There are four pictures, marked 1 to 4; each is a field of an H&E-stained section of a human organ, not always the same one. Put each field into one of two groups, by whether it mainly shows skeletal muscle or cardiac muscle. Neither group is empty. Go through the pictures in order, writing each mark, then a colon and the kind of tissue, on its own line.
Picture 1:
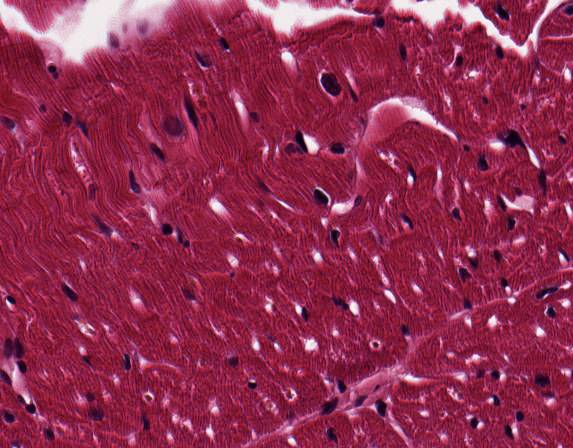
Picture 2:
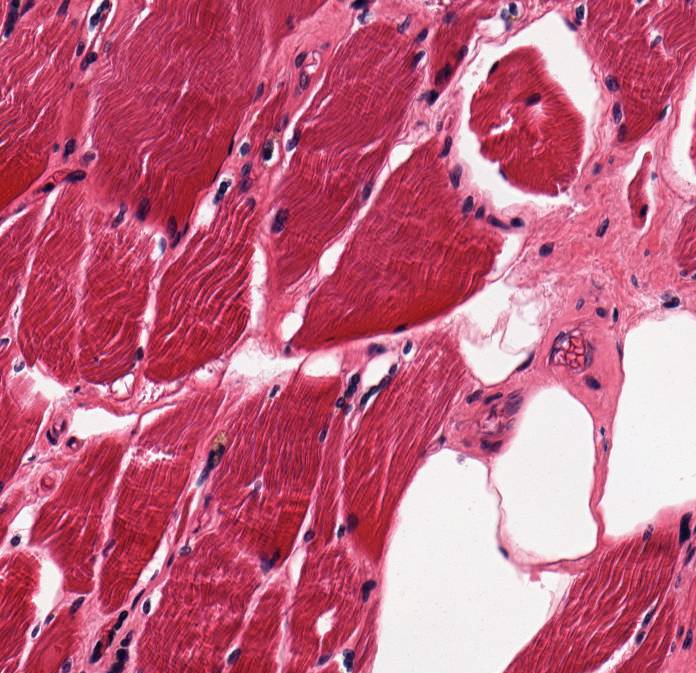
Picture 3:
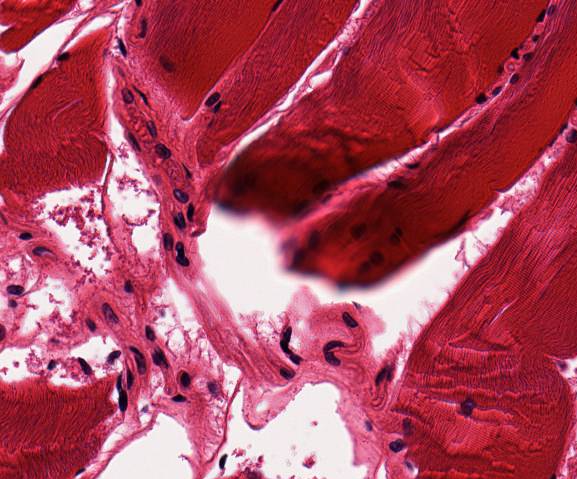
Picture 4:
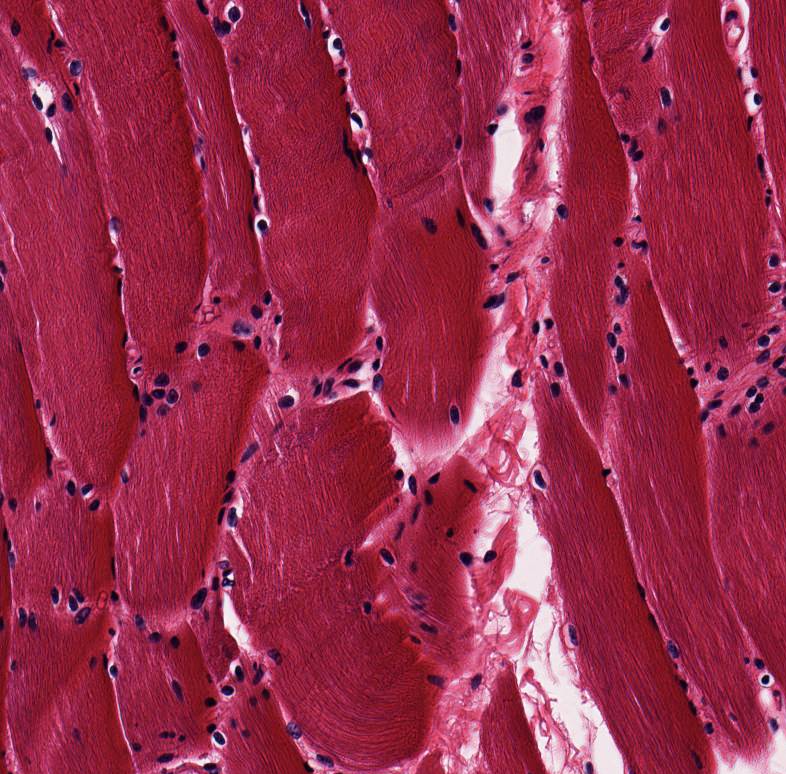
1: cardiac muscle
2: skeletal muscle
3: skeletal muscle
4: skeletal muscle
